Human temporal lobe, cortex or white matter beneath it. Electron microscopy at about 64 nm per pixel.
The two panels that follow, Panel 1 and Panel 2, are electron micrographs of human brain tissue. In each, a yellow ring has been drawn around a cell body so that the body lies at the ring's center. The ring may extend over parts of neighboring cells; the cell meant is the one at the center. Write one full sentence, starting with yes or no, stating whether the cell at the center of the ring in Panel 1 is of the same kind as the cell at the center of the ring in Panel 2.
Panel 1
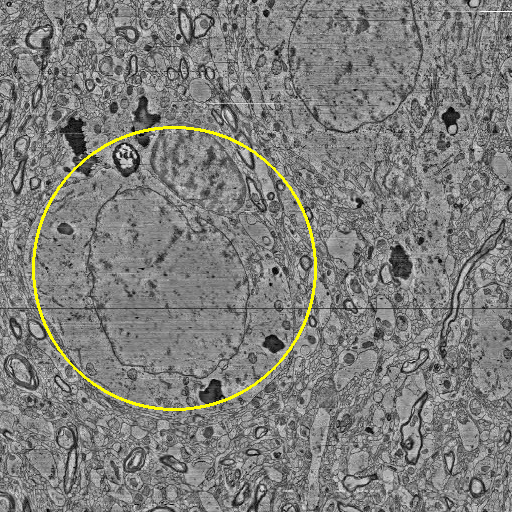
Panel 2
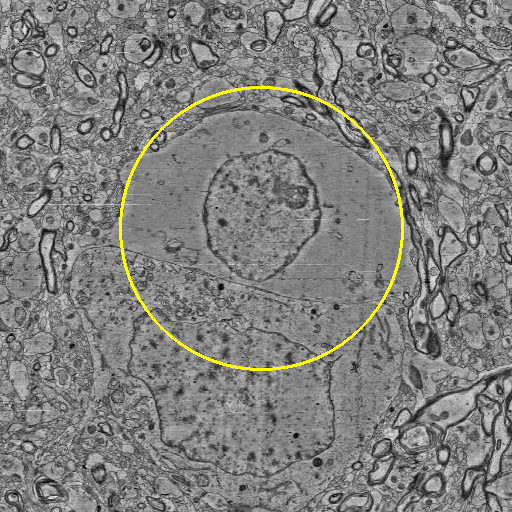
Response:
No, the cells in the two panels are of two kinds.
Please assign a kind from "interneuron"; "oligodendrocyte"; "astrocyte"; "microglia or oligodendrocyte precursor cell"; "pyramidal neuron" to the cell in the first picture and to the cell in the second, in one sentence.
In the first picture we have a pyramidal neuron, and in the second, an astrocyte.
